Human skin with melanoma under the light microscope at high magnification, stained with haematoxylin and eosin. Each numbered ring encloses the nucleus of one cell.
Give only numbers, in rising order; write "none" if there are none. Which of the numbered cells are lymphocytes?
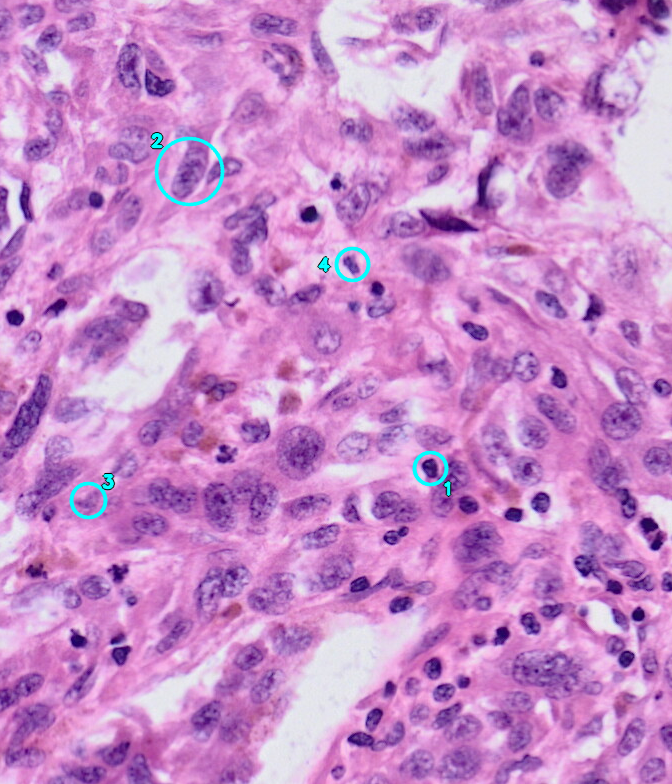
1, 4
